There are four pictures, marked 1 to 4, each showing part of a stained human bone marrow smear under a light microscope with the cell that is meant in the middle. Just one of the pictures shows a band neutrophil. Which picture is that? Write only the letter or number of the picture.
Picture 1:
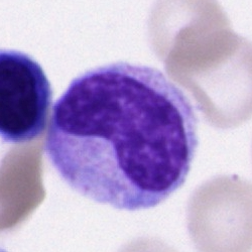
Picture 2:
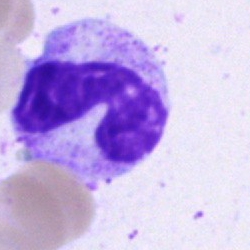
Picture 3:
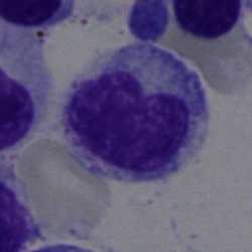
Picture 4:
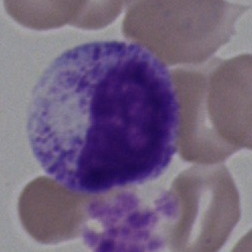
2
